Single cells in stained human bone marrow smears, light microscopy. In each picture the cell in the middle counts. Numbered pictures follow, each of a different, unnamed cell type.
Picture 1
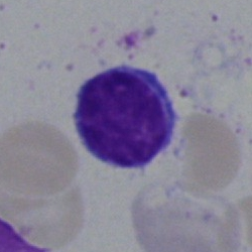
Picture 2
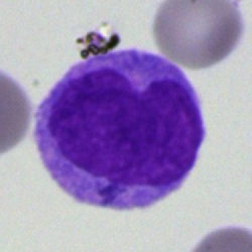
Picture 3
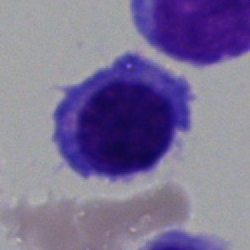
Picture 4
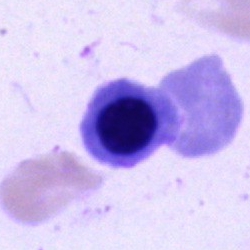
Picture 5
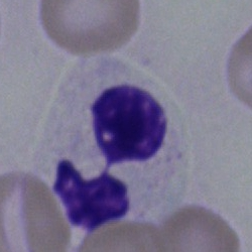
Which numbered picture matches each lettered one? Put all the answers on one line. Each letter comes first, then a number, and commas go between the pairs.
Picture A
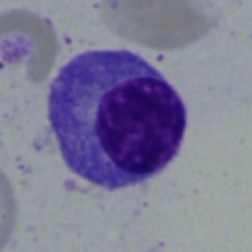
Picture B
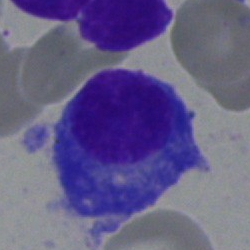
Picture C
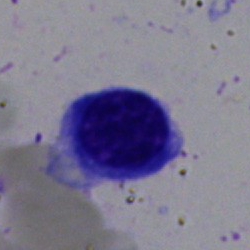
A 3, B 3, C 1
